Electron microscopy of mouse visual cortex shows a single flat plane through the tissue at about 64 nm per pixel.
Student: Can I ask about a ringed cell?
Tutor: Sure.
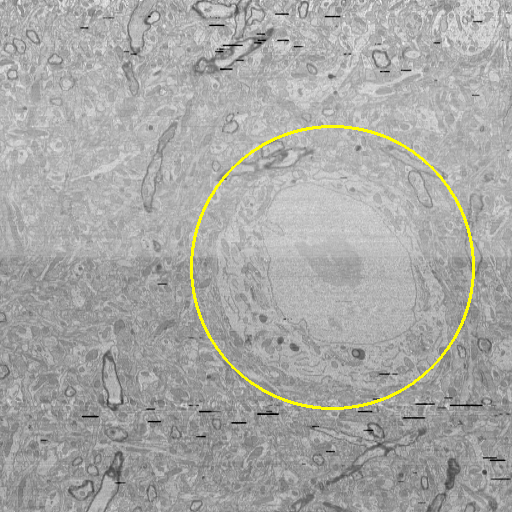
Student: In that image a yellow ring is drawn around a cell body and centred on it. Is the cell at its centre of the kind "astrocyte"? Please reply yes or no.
No, the cell is of another kind.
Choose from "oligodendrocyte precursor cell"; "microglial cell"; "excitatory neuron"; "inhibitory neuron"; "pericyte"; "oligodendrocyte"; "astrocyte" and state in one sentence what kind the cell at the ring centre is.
It is an excitatory neuron that the ring is centred on.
